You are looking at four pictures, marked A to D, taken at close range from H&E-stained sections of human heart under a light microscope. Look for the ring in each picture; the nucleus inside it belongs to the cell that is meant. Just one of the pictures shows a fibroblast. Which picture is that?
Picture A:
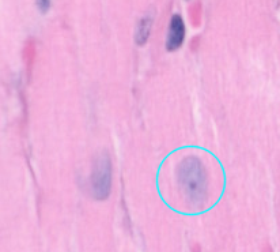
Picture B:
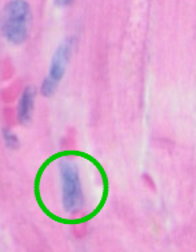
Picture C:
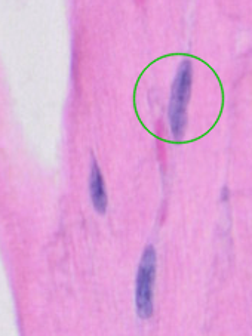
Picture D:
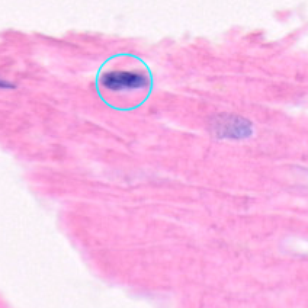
C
